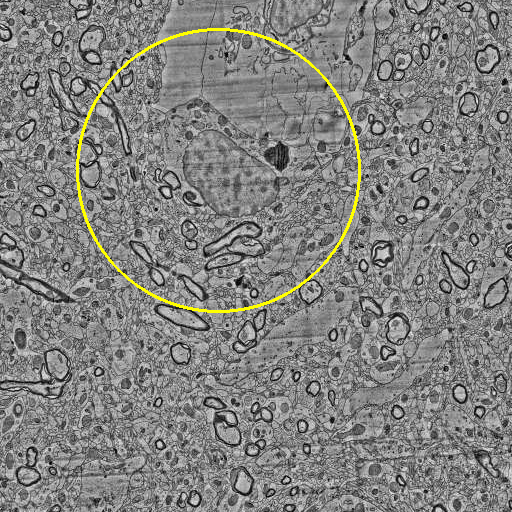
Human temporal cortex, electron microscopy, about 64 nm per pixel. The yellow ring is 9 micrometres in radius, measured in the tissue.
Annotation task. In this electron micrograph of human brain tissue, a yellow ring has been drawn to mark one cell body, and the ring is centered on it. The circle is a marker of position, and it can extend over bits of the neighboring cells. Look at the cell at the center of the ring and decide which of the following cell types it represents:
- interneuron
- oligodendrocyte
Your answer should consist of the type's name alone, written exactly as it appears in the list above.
oligodendrocyte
